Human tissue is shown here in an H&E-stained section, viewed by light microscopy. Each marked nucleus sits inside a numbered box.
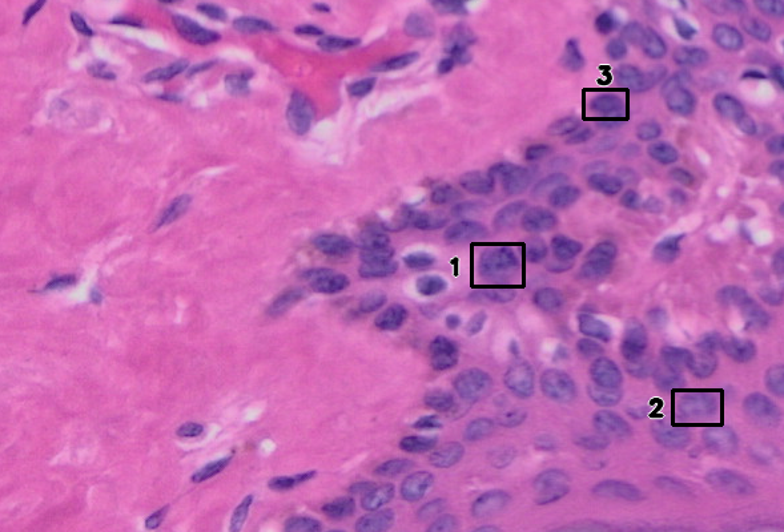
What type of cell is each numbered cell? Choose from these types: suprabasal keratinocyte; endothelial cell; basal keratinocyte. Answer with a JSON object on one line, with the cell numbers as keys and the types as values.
{"1": "basal keratinocyte", "2": "suprabasal keratinocyte", "3": "basal keratinocyte"}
